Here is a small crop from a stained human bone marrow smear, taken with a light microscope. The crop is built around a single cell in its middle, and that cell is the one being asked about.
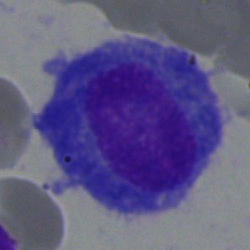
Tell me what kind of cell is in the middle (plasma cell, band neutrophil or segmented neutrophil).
plasma cell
